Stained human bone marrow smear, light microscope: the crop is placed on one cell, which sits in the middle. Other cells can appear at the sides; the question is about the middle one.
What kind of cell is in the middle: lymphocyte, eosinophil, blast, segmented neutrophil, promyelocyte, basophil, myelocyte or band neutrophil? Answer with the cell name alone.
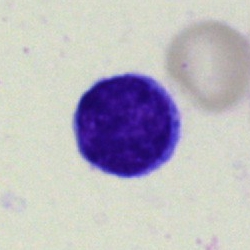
lymphocyte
